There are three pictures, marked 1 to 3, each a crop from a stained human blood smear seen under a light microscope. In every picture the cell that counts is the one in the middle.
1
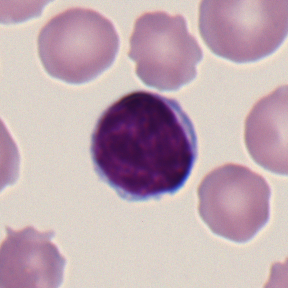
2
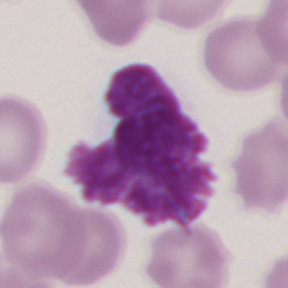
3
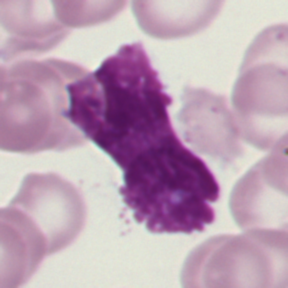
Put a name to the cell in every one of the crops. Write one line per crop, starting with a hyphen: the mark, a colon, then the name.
- 1: typical lymphocyte
- 2: smudge cell
- 3: smudge cell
